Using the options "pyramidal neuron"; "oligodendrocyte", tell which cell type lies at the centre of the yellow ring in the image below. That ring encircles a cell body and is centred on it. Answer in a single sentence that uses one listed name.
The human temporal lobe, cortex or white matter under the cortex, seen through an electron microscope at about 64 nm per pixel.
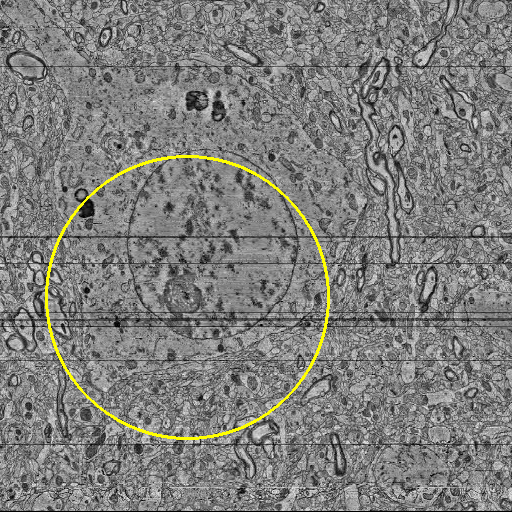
At the centre of the yellow ring lies the body of a pyramidal neuron.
